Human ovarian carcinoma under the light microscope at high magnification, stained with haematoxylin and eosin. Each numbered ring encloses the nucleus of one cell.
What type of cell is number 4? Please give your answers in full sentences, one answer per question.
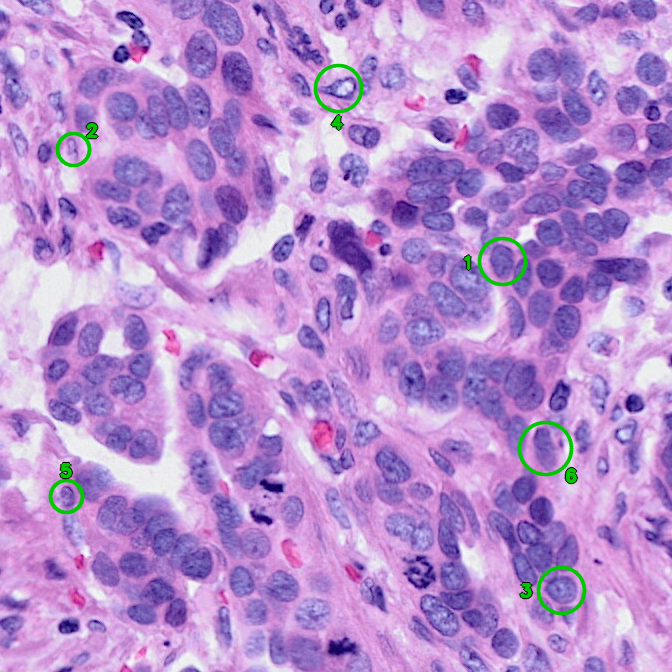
The numbered cell 4 in this field is a fibroblast.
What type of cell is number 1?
Recognised here as a carcinoma cell is the cell numbered 1.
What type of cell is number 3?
The expected answer is that cell 3 is a carcinoma cell.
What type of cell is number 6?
At number 6, the marked cell is a carcinoma cell.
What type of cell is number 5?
It is as a macrophage or monocyte that the cell numbered 5 is identified.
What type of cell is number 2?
The cell tagged with 2 in this tissue section is a fibroblast.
